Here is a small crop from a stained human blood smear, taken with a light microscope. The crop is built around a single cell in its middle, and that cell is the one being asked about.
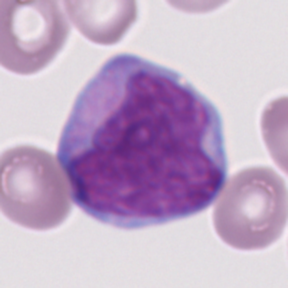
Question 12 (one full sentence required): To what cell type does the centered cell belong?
The cell at the middle of the frame should be recorded as an atypical promyelocyte.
